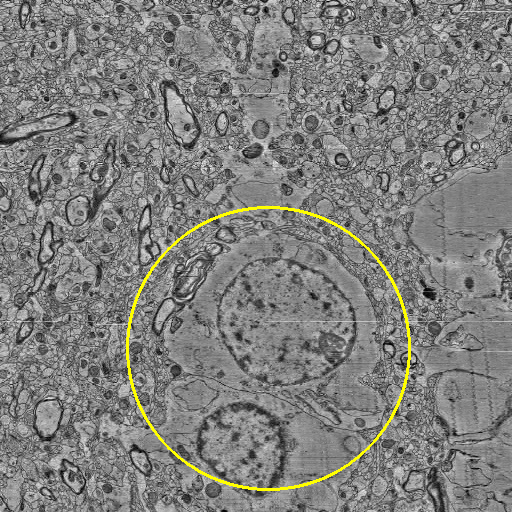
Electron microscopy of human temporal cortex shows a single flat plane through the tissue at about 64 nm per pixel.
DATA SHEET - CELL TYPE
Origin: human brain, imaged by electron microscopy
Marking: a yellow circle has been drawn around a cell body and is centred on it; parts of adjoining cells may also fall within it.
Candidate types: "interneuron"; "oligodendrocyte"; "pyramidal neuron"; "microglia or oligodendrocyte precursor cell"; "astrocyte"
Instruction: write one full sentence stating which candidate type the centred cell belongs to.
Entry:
The cell body at the centre of the yellow ring in this micrograph belongs to an astrocyte.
